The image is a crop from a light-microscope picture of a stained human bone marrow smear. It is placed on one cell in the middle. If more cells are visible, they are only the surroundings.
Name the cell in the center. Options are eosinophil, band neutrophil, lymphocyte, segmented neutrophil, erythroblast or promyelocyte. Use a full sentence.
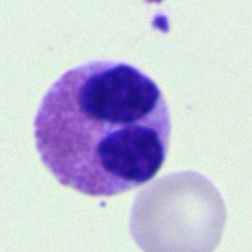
The cell marked by its central position in the crop is an eosinophil.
